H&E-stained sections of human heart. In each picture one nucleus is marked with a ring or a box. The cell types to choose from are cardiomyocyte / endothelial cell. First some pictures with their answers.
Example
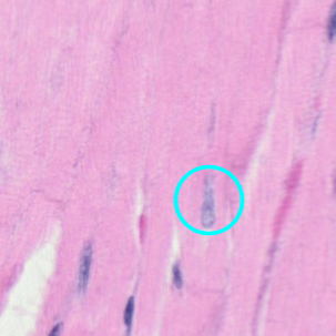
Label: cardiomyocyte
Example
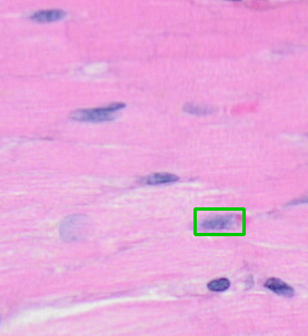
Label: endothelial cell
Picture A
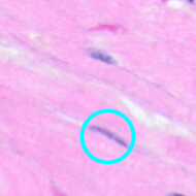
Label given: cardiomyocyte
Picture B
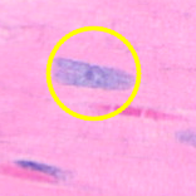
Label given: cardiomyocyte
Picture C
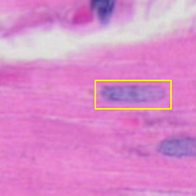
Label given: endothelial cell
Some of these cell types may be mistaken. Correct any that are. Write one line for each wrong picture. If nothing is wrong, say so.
A should be endothelial cell, not cardiomyocyte
C should be cardiomyocyte, not endothelial cell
